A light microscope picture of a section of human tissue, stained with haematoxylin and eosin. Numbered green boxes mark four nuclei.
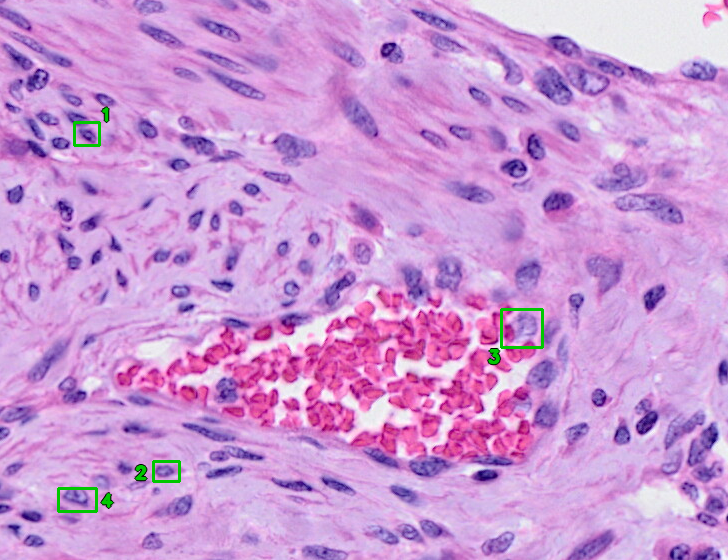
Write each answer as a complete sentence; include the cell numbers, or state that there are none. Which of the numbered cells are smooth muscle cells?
Cells 1, 2 and 4 are recognised here as smooth muscle cells.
